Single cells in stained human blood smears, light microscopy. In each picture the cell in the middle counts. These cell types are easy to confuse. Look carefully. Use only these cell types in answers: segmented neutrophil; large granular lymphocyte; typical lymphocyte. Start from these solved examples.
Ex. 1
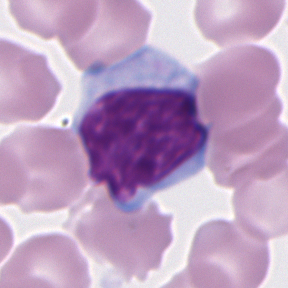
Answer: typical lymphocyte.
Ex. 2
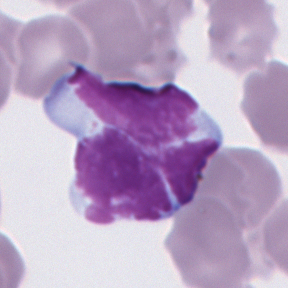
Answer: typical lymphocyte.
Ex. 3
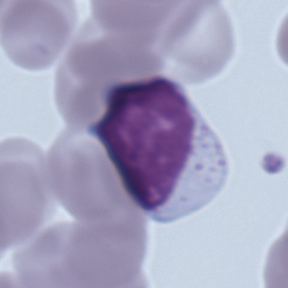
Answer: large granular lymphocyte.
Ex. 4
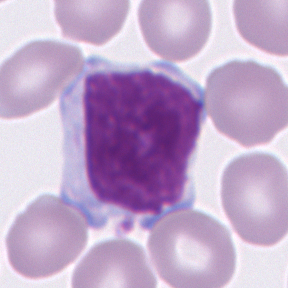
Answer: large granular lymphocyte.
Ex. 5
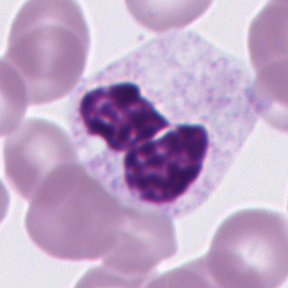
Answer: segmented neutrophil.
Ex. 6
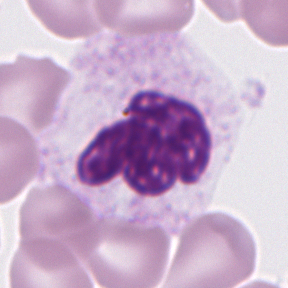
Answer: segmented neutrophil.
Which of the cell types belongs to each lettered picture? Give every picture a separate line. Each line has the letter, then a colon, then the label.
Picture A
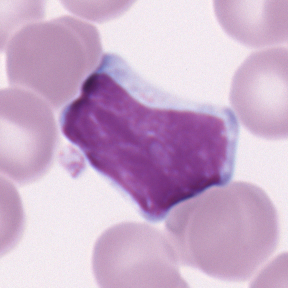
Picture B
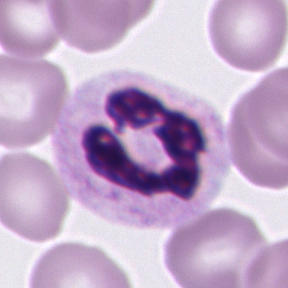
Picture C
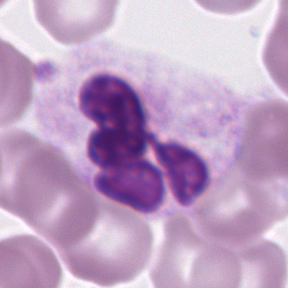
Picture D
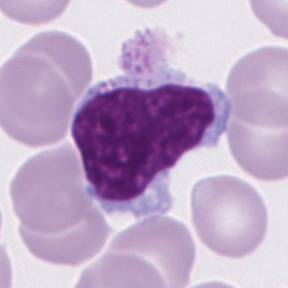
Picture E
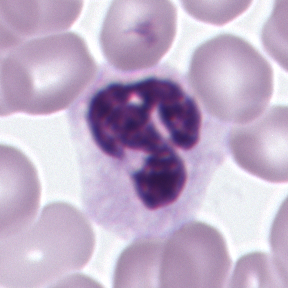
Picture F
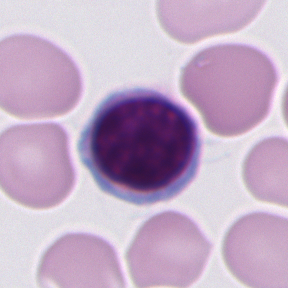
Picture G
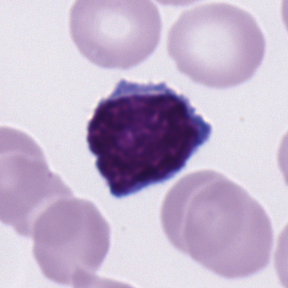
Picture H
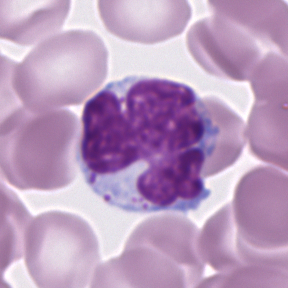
A: typical lymphocyte.
B: segmented neutrophil.
C: segmented neutrophil.
D: large granular lymphocyte.
E: segmented neutrophil.
F: typical lymphocyte.
G: typical lymphocyte.
H: typical lymphocyte.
